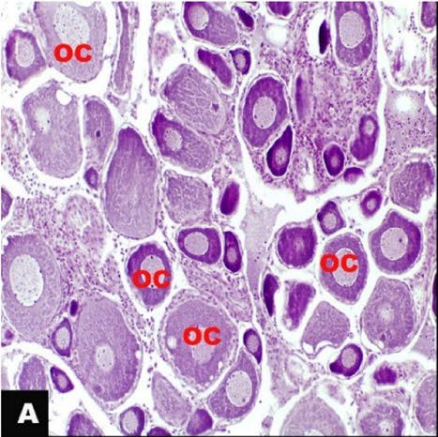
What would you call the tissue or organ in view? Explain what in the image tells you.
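The tissue is filled with large round cells of varying size. The cytoplasm of the cells stains purple with differing intensity.
Ovary.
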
